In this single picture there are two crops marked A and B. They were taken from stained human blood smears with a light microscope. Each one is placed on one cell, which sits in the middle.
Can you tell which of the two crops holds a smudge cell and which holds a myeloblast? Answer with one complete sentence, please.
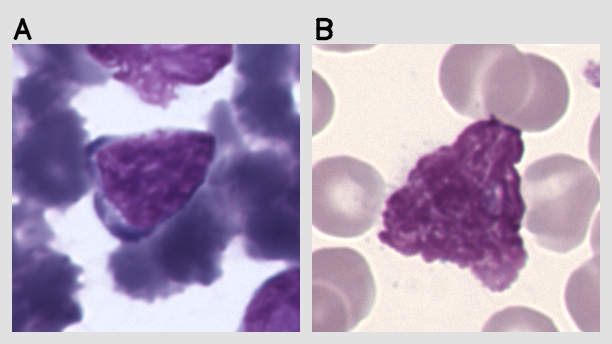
Recognised in crop A is a myeloblast, and recognised in crop B is a smudge cell.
